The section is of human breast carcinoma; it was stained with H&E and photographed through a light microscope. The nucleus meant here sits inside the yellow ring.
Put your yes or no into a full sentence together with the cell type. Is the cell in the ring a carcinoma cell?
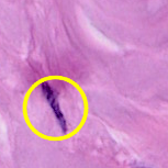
No, the cell in the ring is best named a fibroblast, not a carcinoma cell.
